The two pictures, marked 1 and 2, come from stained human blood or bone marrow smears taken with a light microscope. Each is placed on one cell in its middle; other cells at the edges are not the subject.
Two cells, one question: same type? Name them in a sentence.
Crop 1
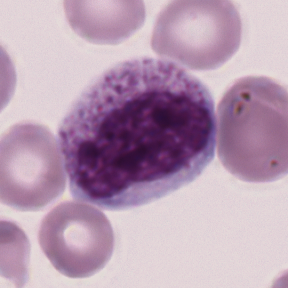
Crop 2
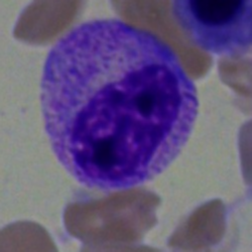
Yes, both of the crops show metamyelocytes.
